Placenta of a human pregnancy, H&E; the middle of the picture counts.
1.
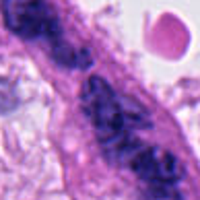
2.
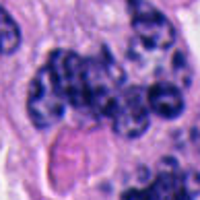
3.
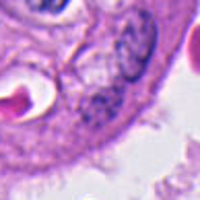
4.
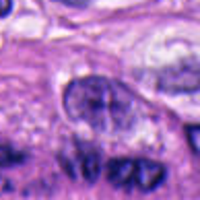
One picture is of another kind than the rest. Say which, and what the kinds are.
Picture 2 shows a syncytial knot; the rest show cytotrophoblasts.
